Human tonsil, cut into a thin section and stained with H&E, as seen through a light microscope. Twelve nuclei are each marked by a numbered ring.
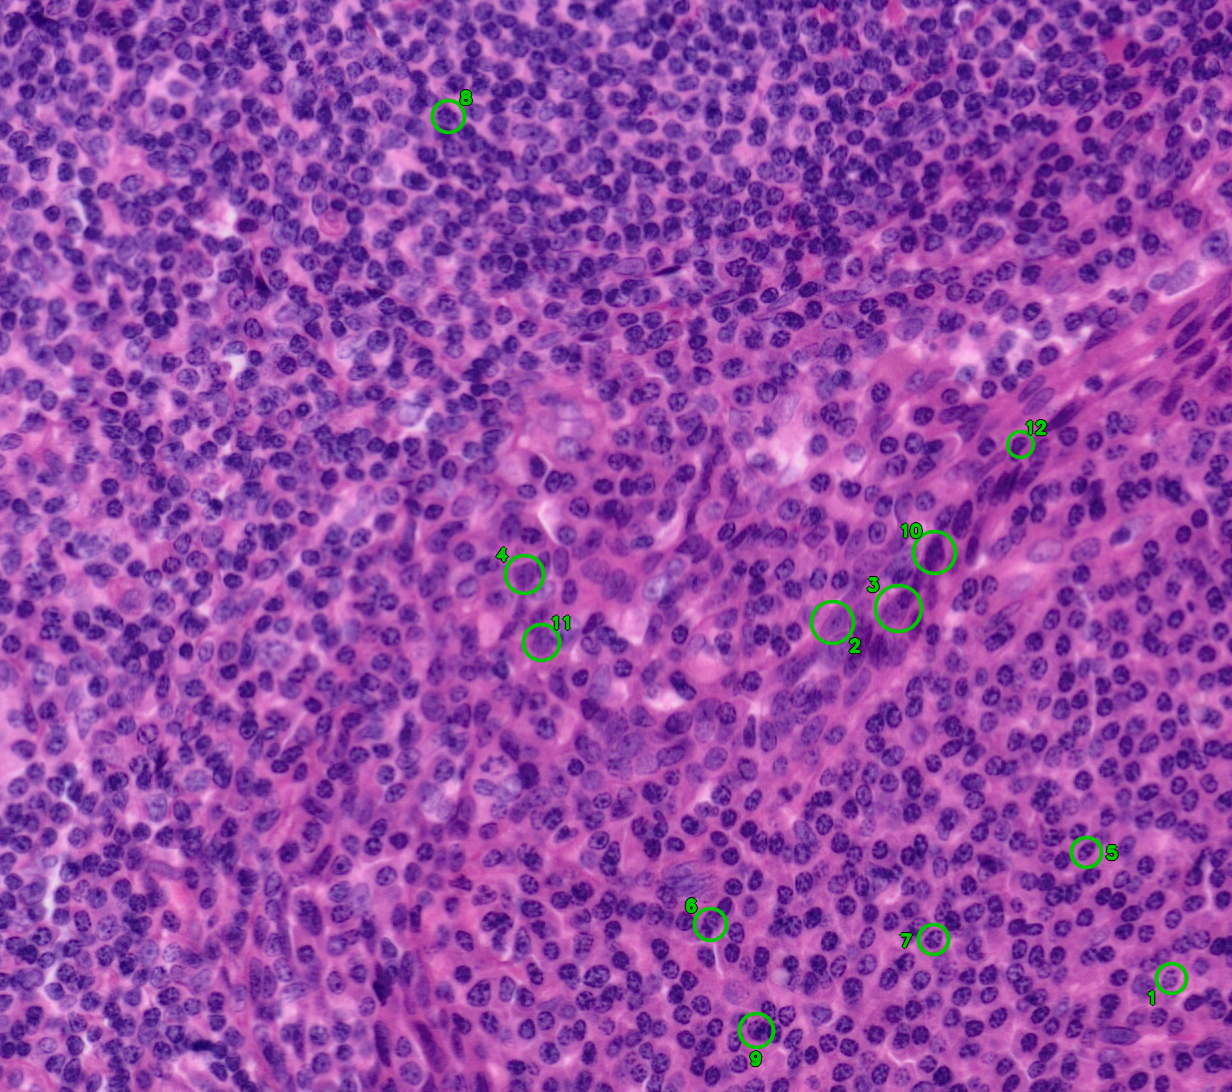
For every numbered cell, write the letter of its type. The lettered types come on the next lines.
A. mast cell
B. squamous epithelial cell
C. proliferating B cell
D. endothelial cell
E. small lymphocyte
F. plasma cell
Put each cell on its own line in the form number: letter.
1: F
2: B
3: B
4: B
5: F
6: F
7: F
8: E
9: F
10: B
11: B
12: B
